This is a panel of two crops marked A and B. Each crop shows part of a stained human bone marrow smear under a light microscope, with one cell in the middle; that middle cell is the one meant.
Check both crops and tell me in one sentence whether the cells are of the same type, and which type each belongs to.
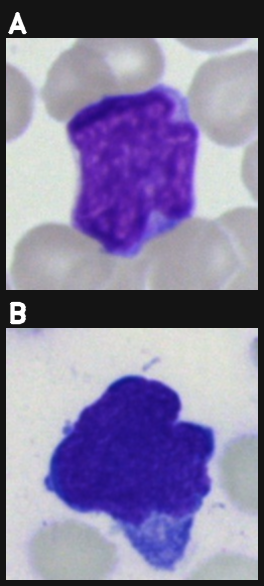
Yes, blasts are the central cells in the two crops.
